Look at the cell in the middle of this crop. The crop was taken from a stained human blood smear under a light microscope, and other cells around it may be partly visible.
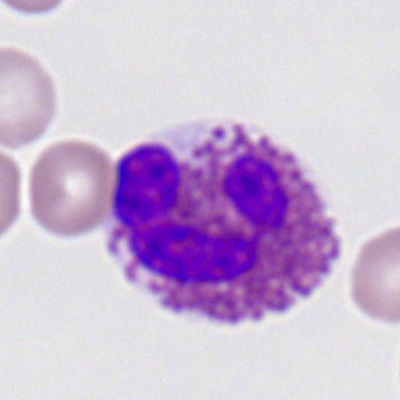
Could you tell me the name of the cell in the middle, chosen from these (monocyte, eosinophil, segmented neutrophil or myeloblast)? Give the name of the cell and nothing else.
eosinophil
